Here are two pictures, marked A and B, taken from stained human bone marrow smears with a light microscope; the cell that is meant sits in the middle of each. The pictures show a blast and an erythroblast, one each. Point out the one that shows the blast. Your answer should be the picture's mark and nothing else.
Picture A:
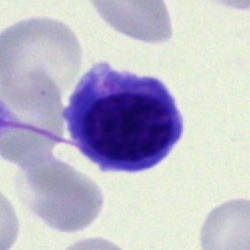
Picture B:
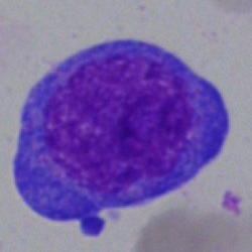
B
